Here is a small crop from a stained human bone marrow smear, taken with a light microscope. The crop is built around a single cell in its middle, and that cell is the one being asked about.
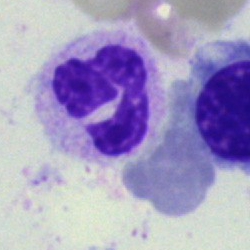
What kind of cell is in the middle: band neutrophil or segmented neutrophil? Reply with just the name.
segmented neutrophil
